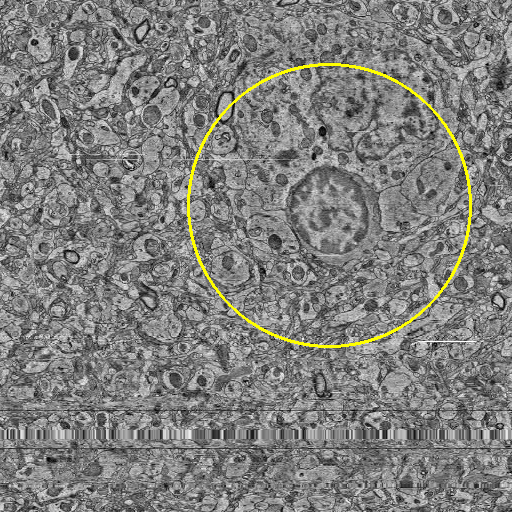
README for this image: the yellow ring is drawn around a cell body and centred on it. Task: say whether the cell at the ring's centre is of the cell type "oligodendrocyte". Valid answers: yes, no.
yes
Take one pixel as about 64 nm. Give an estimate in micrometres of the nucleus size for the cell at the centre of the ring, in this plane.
About 6 by 5 micrometers, in this plane.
